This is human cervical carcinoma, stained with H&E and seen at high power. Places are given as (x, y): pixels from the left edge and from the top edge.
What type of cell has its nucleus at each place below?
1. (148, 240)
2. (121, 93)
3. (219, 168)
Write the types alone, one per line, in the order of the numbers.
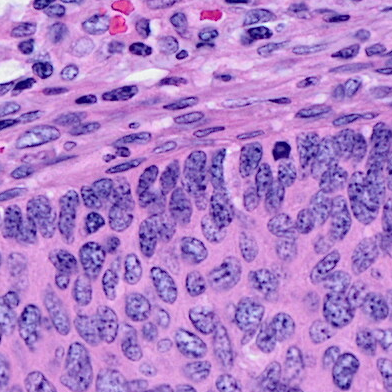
squamous carcinoma cell
lymphocyte
squamous carcinoma cell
